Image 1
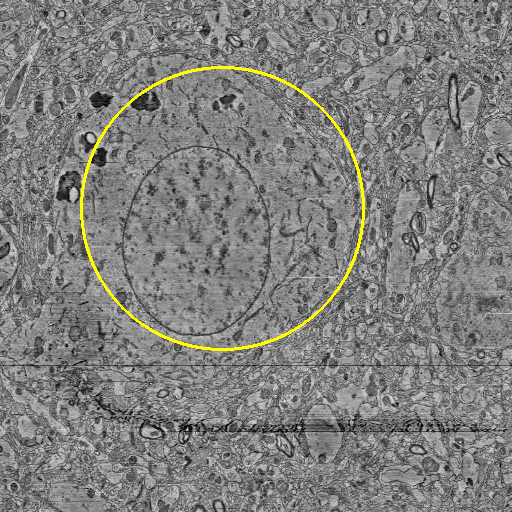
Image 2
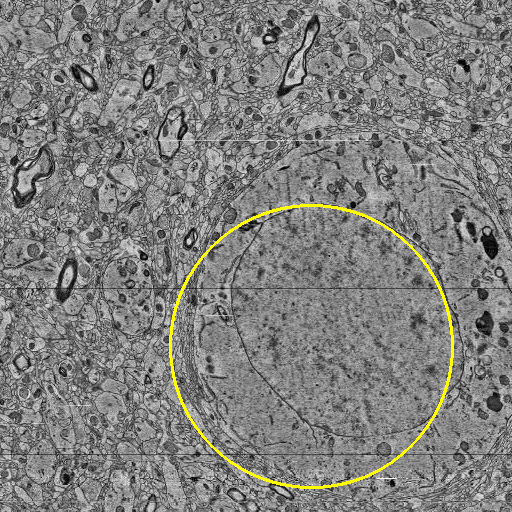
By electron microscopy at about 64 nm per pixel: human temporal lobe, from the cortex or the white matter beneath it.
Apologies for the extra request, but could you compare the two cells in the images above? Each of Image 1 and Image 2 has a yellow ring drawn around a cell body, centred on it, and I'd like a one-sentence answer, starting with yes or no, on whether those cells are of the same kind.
Yes, both cells are of the same kind.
